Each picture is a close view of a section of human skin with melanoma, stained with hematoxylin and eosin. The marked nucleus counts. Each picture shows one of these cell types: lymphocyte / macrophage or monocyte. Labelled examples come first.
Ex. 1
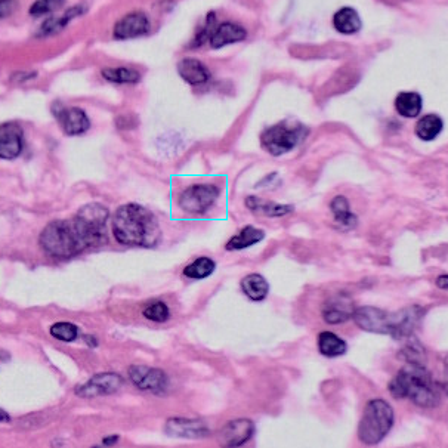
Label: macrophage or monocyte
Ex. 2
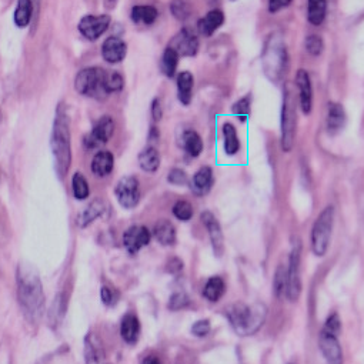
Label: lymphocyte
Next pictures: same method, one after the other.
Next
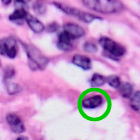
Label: lymphocyte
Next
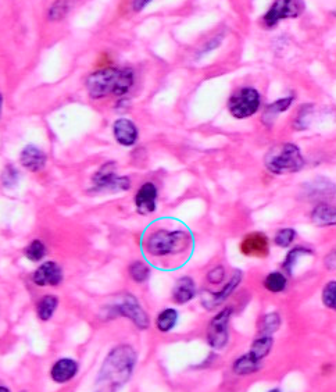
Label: macrophage or monocyte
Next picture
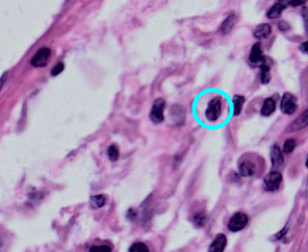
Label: lymphocyte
